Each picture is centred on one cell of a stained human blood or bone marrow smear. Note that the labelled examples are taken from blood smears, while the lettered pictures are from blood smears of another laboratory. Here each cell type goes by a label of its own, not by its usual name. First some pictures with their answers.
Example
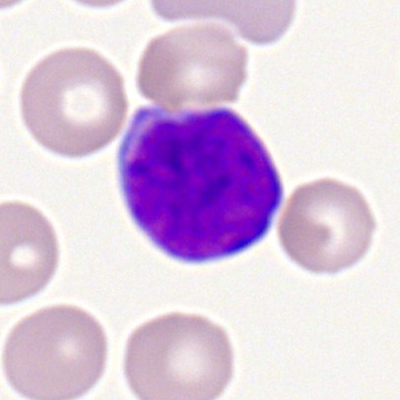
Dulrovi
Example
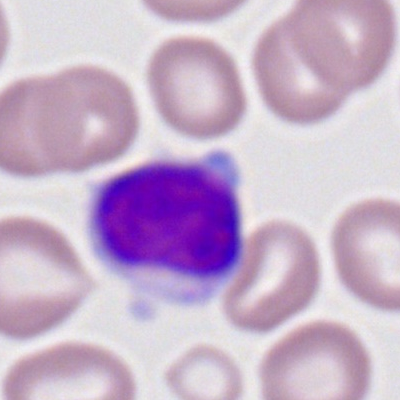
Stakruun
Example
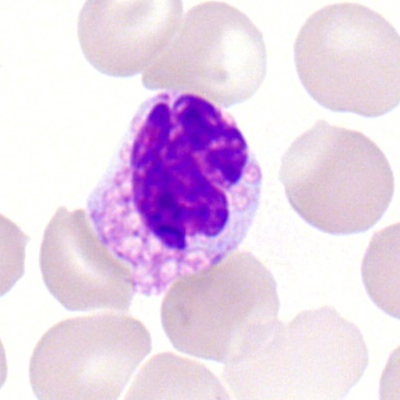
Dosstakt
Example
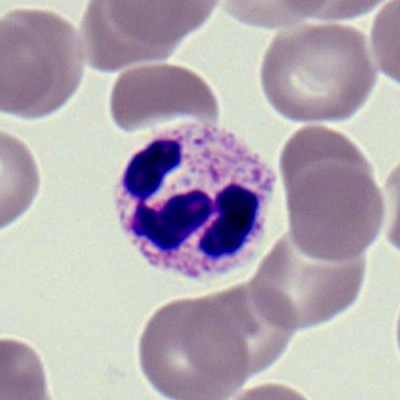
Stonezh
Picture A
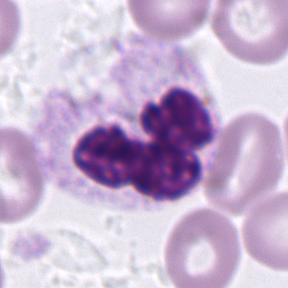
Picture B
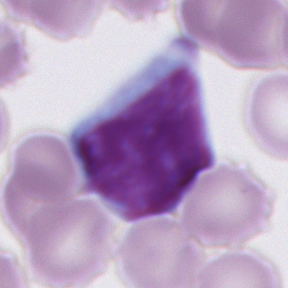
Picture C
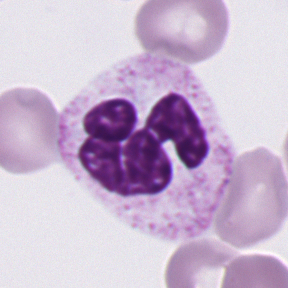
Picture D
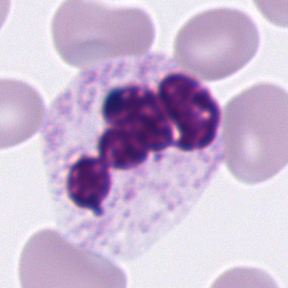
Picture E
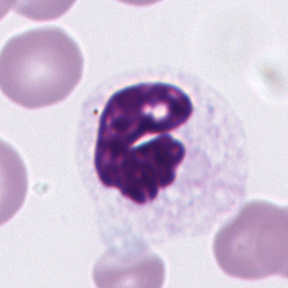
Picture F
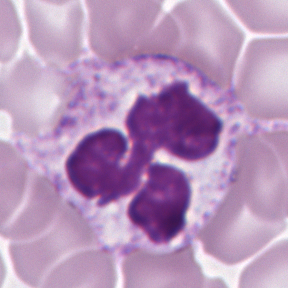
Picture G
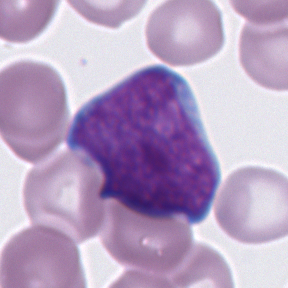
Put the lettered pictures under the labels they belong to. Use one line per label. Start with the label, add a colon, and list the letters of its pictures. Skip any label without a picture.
Dulrovi: G
Stakruun: B
Stonezh: A, C, D, E, F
